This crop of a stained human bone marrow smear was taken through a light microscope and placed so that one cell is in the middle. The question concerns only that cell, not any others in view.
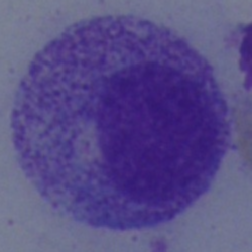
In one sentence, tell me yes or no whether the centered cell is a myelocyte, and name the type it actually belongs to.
Yes, the cell at the centre of the field is a myelocyte.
